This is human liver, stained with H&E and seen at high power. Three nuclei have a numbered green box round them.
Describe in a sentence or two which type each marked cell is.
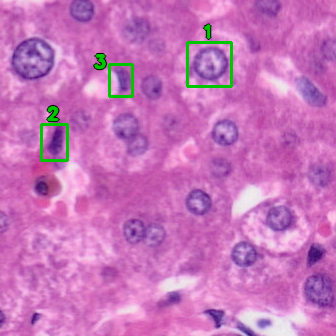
Cell 1 is a hepatocyte. Cell 2 is a fibroblast or stellate cell. Cell 3 is an endothelial cell.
